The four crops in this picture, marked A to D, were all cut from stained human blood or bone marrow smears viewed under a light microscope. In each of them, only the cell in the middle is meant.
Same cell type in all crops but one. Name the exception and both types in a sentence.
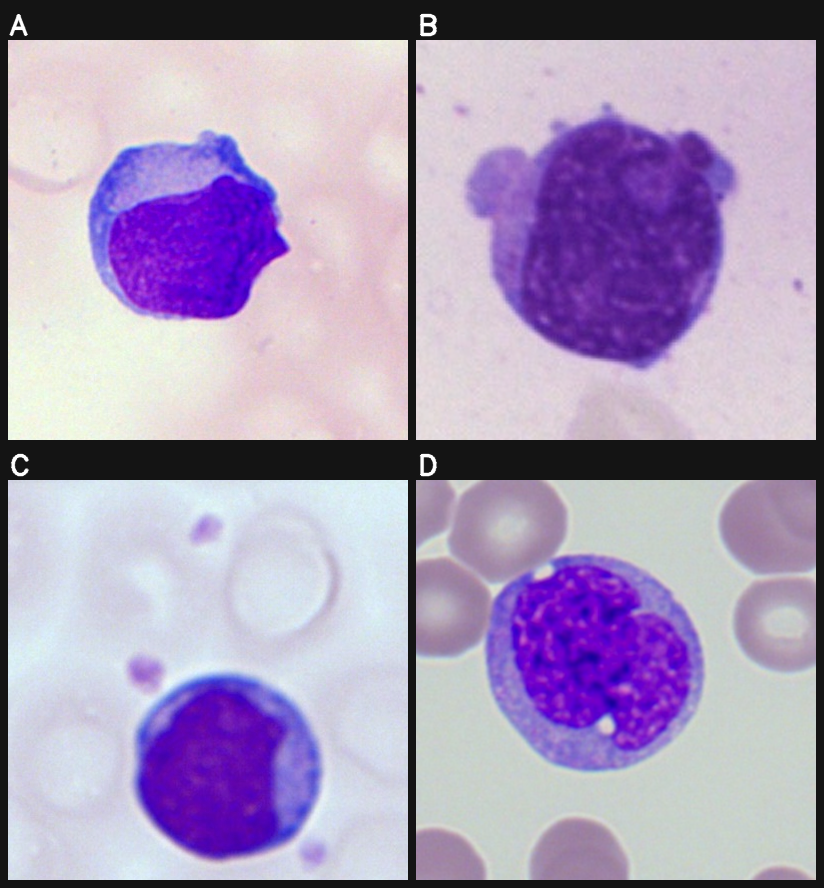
All the crops show blasts, barring crop D, which is a monocyte.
